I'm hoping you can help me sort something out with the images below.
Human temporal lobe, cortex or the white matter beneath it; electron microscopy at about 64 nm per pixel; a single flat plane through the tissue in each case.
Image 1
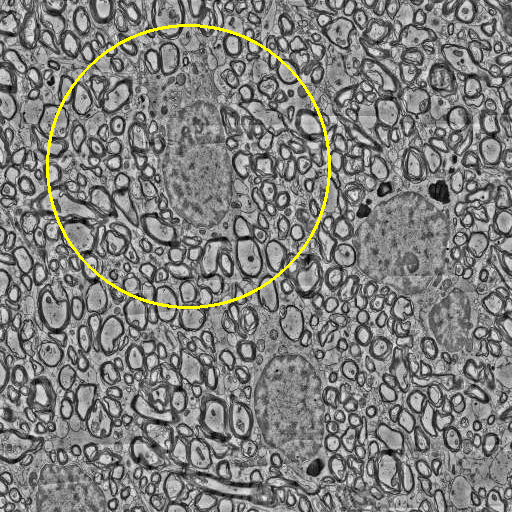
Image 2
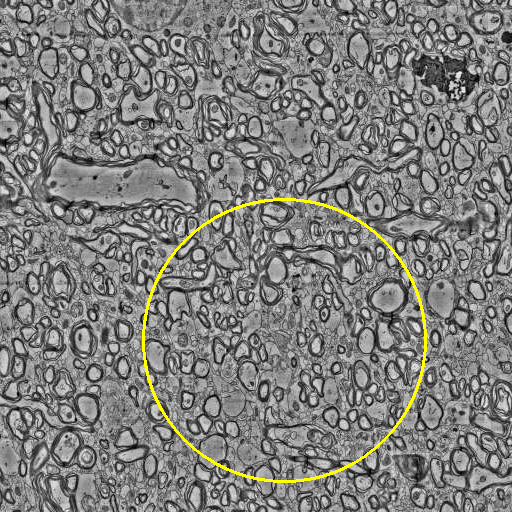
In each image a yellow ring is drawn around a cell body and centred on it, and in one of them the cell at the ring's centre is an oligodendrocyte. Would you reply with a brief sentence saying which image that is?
In Image 1, the cell at the centre of the ring is the one you asked about.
